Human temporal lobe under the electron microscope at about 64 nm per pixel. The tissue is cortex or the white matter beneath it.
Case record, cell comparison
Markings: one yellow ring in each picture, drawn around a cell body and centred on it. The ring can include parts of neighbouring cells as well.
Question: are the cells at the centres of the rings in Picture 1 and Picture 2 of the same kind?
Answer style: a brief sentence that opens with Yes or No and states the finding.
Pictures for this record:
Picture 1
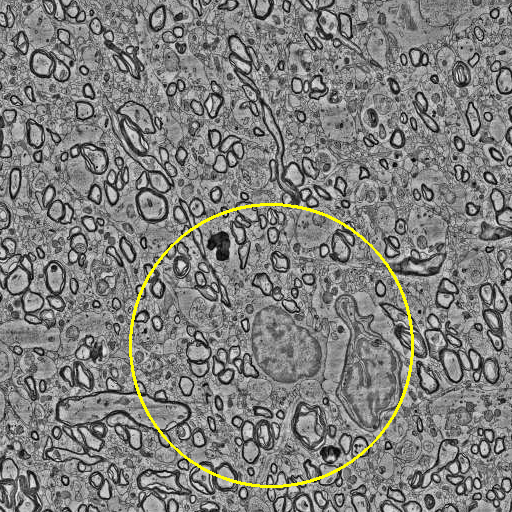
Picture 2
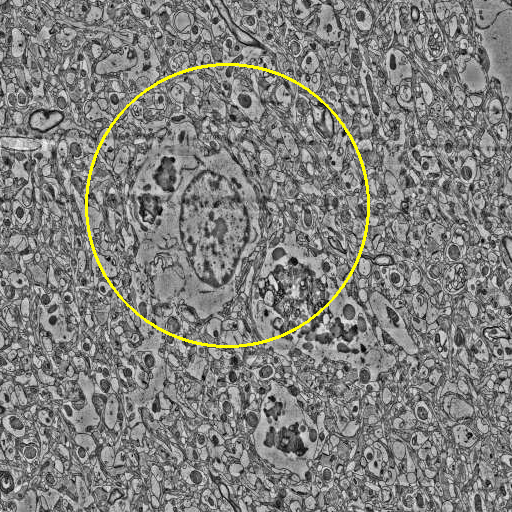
No, the cells in Picture 1 and Picture 2 are of two kinds.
